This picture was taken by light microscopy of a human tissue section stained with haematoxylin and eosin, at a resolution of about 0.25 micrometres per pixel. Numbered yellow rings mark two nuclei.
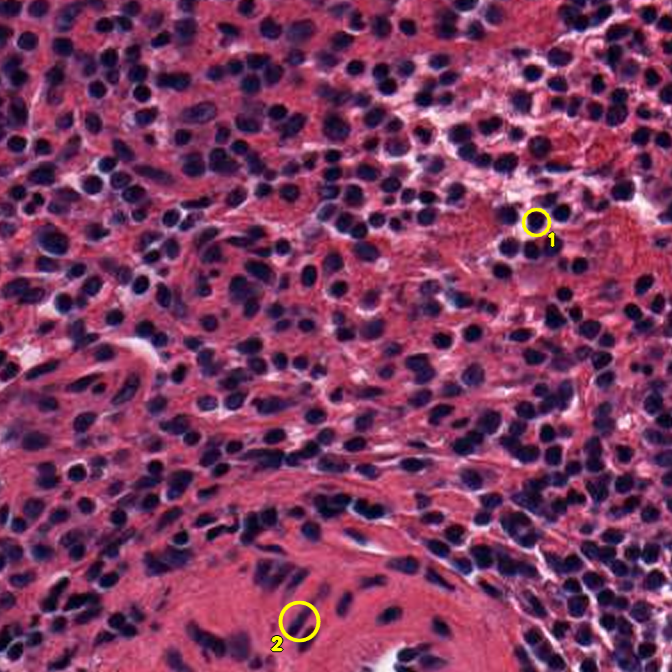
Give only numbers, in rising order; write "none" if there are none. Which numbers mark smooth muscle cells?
2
